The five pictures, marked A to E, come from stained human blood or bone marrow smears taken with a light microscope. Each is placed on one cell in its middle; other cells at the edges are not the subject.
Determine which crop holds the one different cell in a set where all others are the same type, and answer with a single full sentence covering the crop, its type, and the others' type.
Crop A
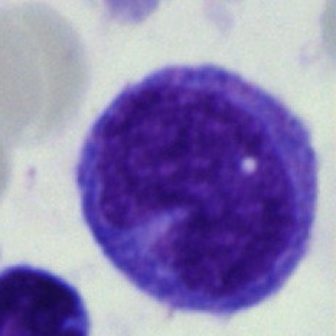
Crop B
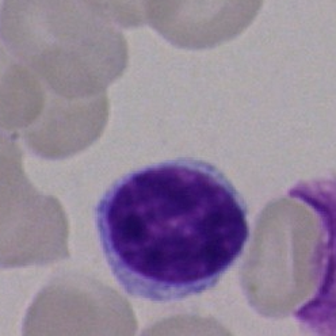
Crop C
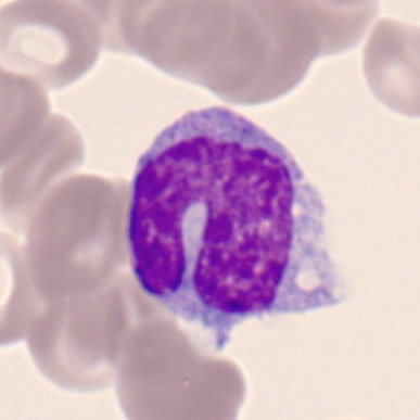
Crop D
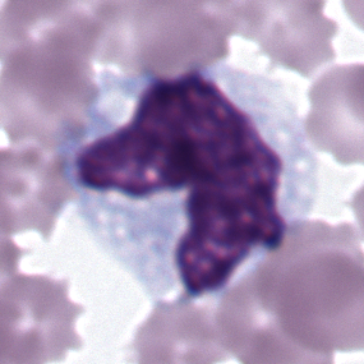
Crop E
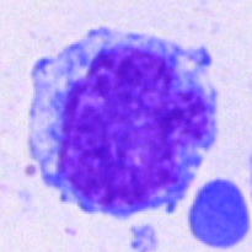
Here the outlier is crop B, which is a lymphocyte, and the rest are monocytes.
